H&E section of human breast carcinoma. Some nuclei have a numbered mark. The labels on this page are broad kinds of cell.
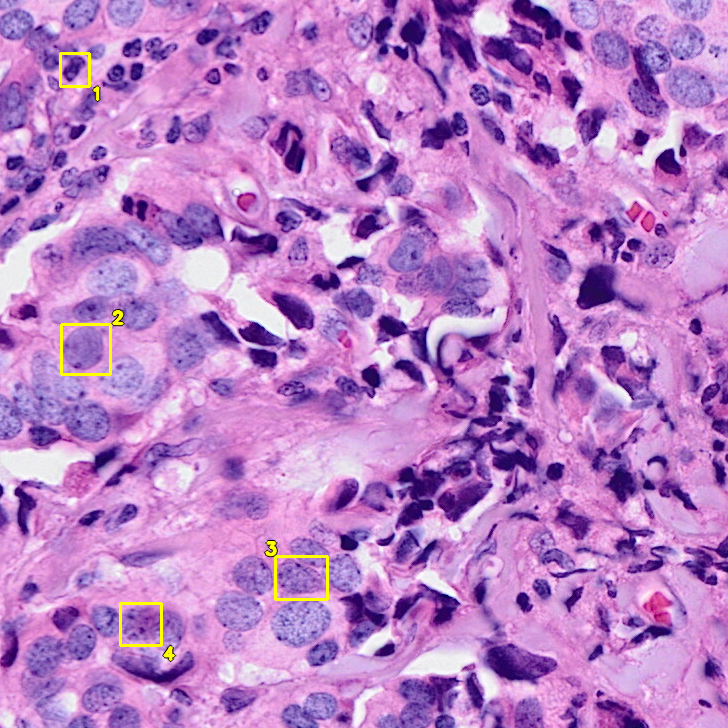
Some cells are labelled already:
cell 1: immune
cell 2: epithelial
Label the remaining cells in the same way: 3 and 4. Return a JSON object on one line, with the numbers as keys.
{"3": "epithelial", "4": "epithelial"}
